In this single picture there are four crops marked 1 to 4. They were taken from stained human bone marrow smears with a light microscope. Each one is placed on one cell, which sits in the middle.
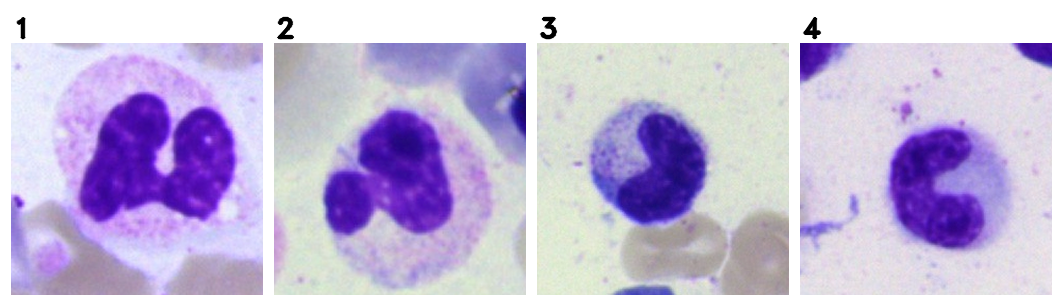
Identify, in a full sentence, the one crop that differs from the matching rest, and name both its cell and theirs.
What sets crop 1 apart is that it is a segmented neutrophil; the others are all band neutrophils.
